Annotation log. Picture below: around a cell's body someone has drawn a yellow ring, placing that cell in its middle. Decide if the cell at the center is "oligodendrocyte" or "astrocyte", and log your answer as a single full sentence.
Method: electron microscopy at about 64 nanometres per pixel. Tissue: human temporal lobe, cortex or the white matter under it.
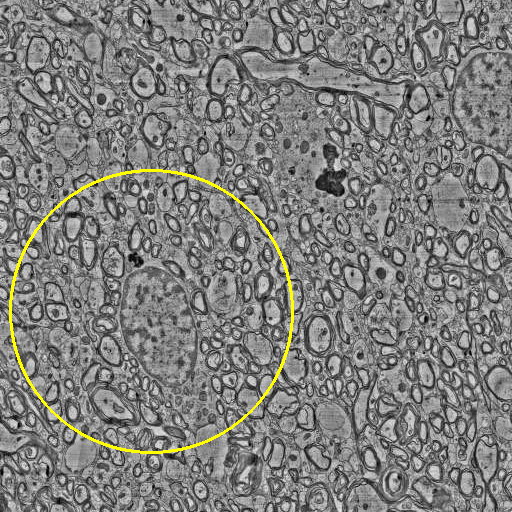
My entry records an oligodendrocyte as the cell sitting at the center of the yellow ring.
